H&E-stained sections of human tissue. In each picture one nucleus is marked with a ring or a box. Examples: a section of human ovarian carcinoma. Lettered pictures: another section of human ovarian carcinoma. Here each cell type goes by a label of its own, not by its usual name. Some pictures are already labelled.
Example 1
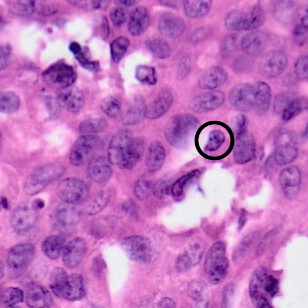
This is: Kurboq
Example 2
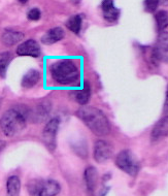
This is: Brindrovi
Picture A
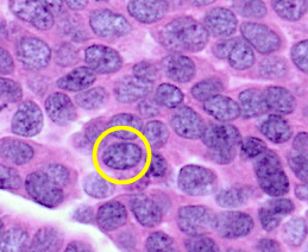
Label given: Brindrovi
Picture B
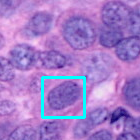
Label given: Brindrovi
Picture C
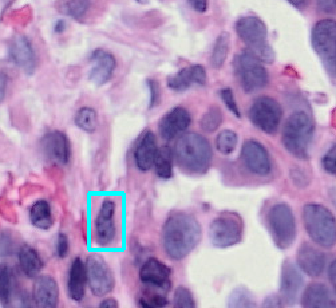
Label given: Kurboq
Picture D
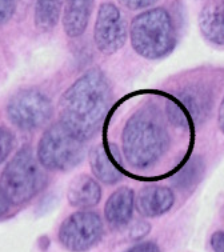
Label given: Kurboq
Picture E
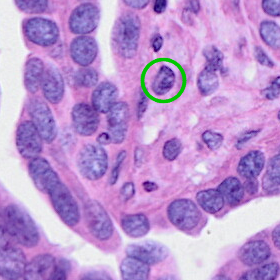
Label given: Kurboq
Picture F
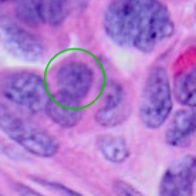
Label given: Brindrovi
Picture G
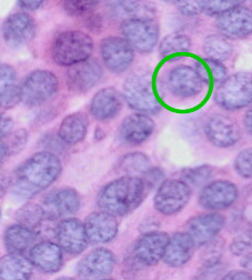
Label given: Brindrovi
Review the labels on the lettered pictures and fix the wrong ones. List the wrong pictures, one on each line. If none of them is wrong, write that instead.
D: not Kurboq but Brindrovi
